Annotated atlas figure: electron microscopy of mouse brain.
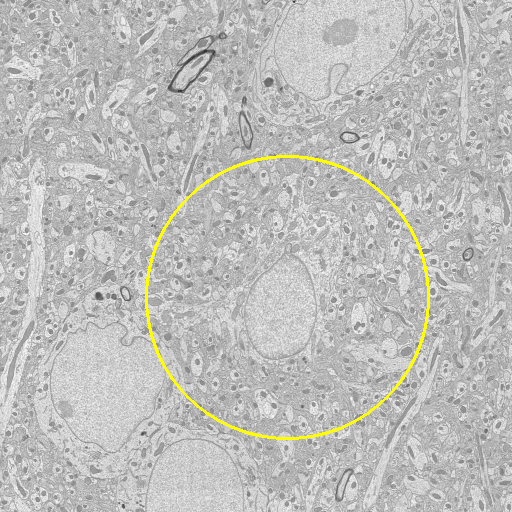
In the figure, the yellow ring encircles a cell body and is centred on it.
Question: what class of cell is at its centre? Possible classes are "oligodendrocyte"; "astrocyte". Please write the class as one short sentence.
The yellow ring is drawn around an astrocyte.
